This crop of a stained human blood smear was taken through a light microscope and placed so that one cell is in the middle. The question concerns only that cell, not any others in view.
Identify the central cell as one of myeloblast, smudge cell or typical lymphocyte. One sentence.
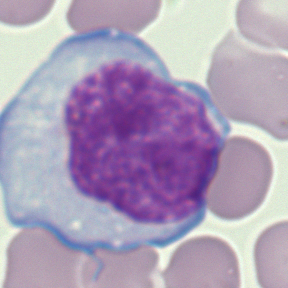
The cell around which this crop is centred is a myeloblast.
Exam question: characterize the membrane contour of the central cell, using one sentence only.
The periphery of this cell is uneven, with ragged portions or projections.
